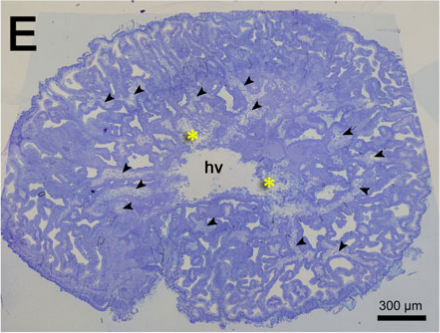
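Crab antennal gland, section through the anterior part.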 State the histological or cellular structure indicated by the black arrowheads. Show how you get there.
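The arrowheads point to pale, loosely textured spaces lying between the densely stained convoluted tubules. These spaces are arranged radially around the central cavity. The answer: coelomosac.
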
